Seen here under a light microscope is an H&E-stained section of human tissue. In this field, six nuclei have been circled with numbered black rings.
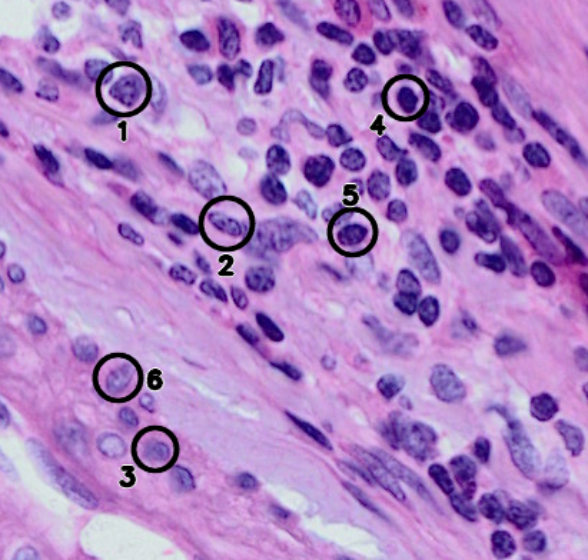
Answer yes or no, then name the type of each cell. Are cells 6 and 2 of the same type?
No, cell 6 is a smooth muscle cell and cell 2 is a lymphocyte.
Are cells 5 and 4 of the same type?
Yes, both are lymphocytes.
